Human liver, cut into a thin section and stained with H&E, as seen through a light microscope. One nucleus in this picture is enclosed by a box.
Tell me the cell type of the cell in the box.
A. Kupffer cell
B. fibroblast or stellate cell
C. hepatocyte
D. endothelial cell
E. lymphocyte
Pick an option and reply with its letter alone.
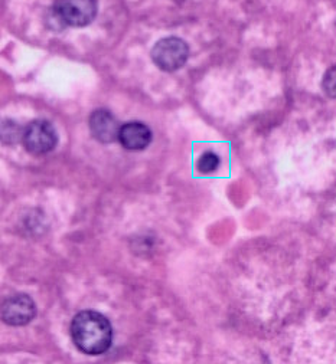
E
